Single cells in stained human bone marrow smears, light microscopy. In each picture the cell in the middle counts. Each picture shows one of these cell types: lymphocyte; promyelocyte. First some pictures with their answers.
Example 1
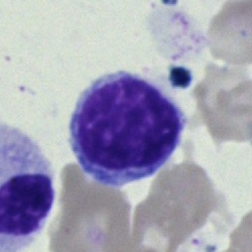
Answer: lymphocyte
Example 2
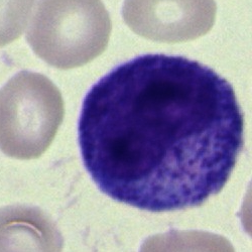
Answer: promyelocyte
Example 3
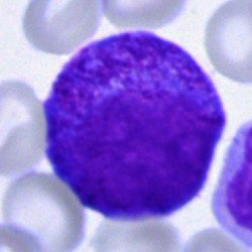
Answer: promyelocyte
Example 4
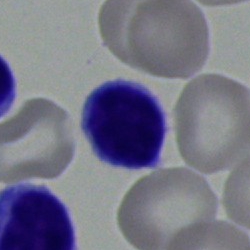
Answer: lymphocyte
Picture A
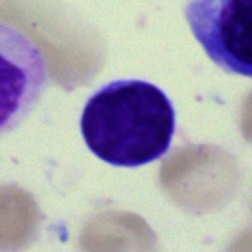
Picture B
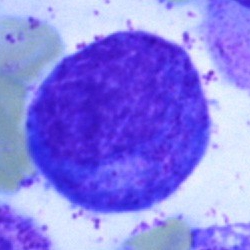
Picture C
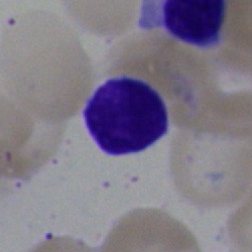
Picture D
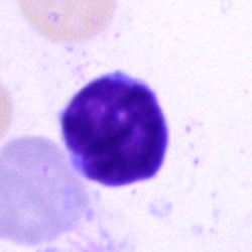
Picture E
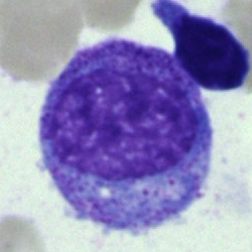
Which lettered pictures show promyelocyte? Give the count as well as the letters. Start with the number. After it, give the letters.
2, namely B, E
